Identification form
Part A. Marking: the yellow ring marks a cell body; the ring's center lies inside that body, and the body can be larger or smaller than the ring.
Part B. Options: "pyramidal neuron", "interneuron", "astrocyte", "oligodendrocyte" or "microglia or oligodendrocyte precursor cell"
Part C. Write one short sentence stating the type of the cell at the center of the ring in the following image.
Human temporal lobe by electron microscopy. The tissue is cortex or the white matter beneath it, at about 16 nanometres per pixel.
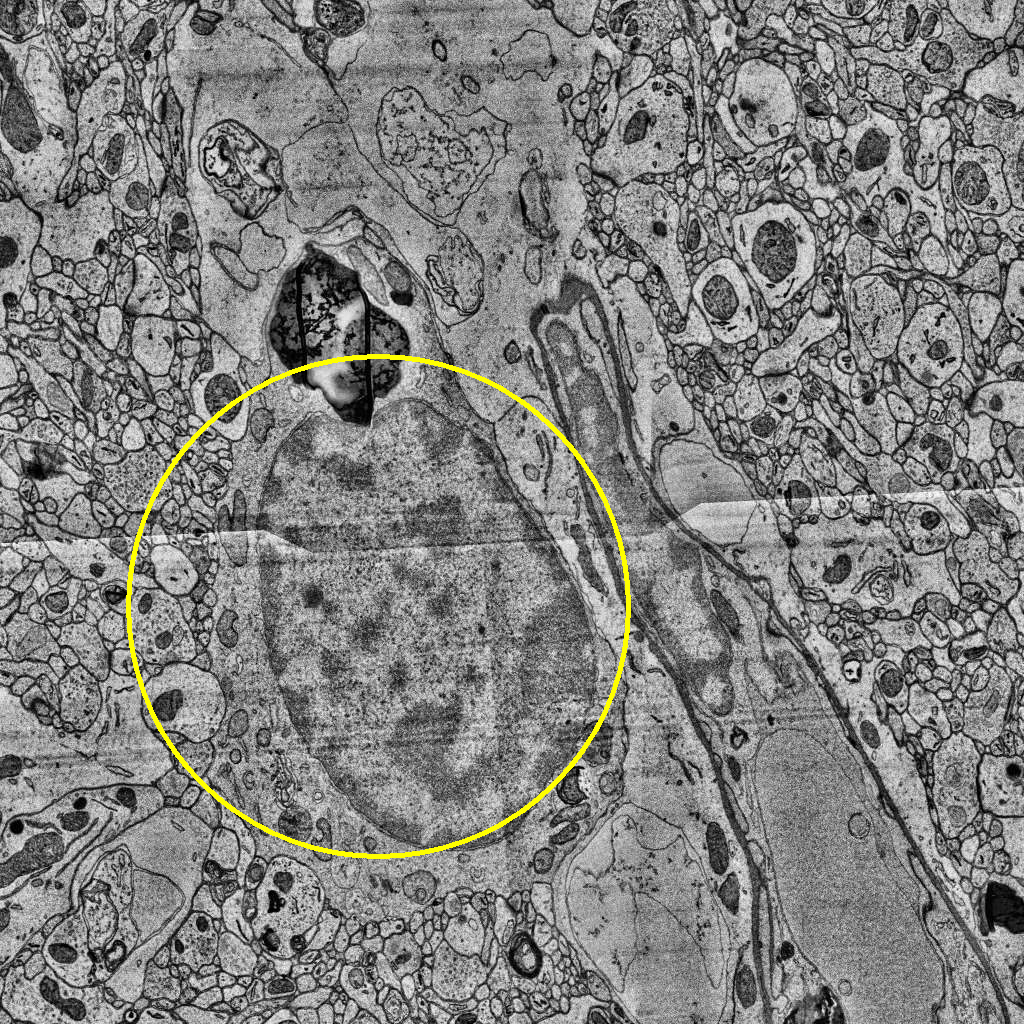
The center of the ring holds an oligodendrocyte.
